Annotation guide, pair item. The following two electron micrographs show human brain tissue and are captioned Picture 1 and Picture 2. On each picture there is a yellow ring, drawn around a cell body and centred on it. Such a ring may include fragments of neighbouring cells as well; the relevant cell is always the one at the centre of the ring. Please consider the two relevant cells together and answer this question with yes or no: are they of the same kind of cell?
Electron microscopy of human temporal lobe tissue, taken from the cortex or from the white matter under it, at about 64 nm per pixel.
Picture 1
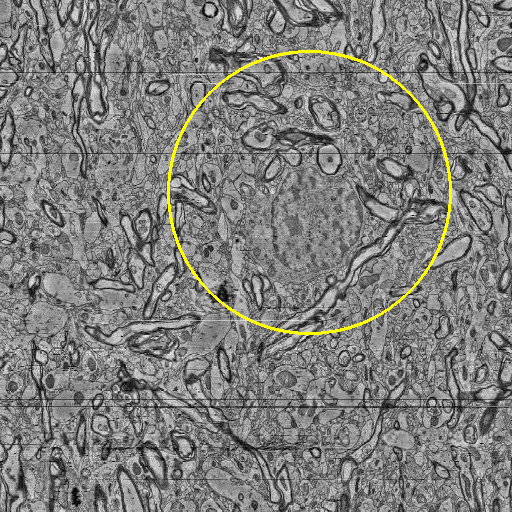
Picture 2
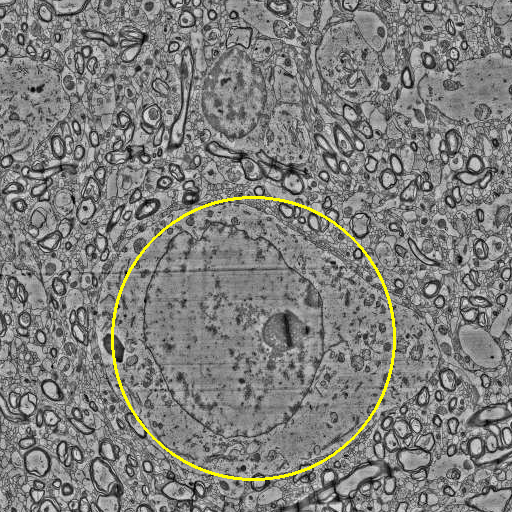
no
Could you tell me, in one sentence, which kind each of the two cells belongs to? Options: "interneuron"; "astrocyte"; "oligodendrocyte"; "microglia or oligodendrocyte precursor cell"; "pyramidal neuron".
At the centre of the first ring sits an oligodendrocyte, and at the centre of the second sits a pyramidal neuron.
